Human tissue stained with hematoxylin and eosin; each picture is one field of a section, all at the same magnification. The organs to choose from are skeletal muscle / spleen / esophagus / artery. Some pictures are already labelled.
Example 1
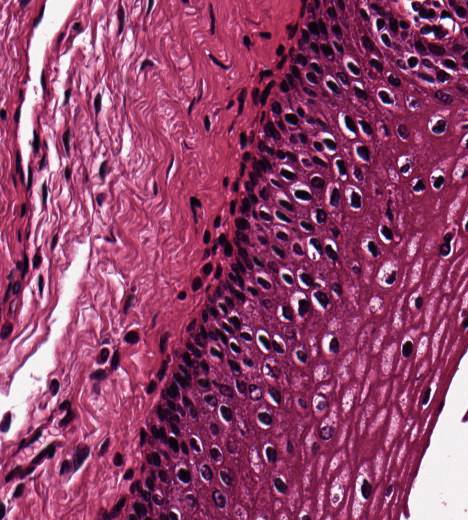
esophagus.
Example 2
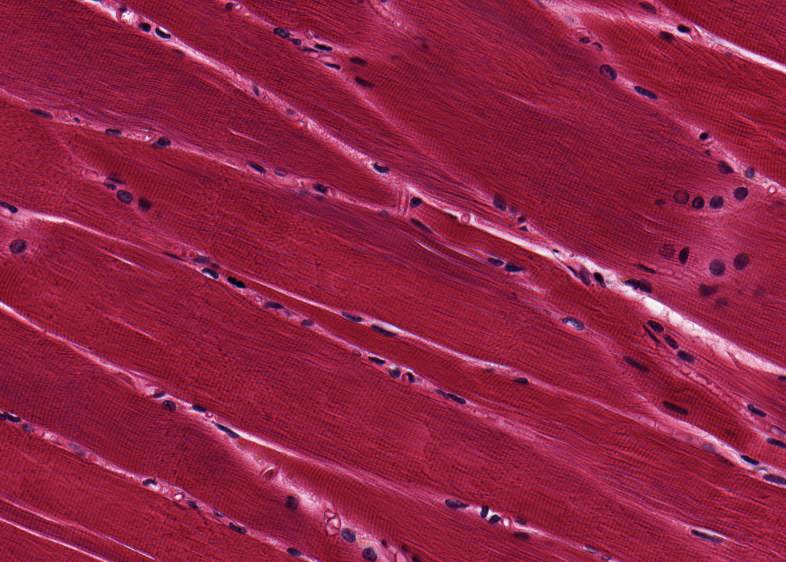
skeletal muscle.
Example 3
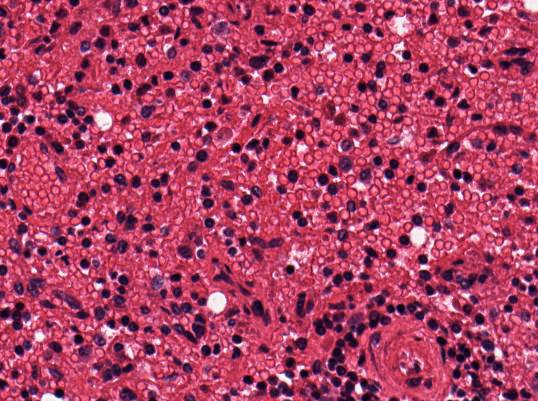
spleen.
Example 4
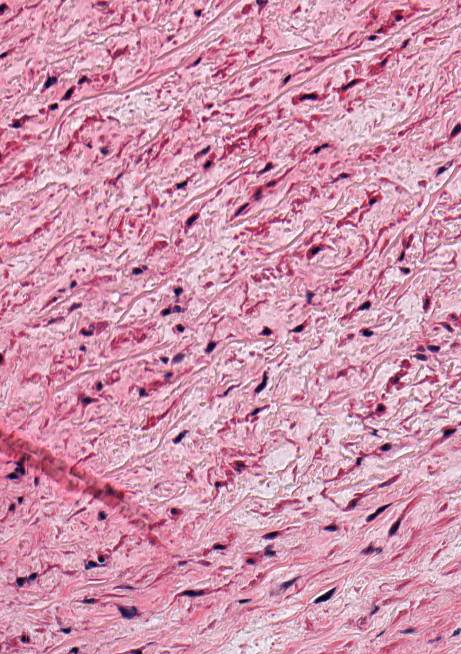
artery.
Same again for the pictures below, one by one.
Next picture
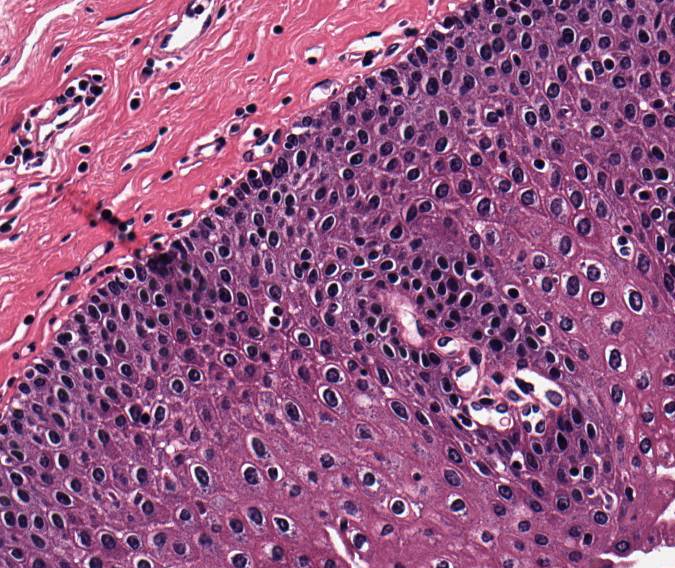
esophagus.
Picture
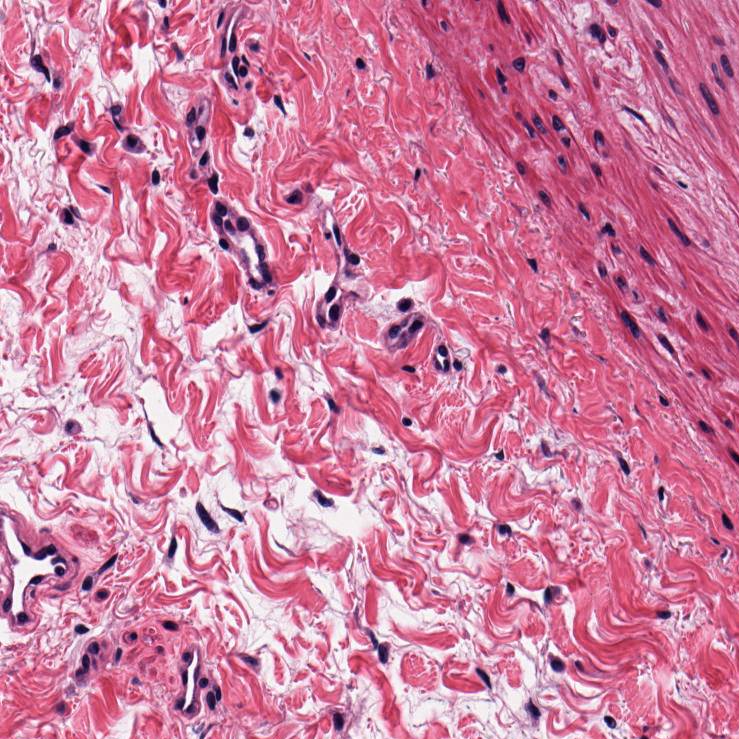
artery.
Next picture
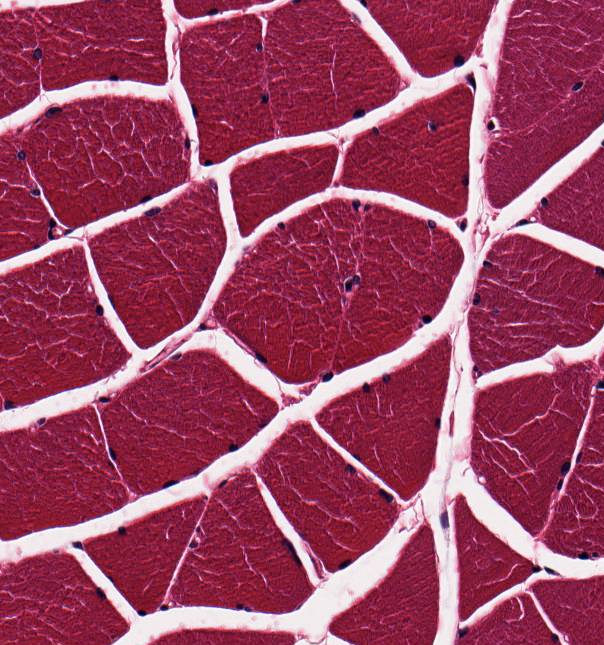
skeletal muscle.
